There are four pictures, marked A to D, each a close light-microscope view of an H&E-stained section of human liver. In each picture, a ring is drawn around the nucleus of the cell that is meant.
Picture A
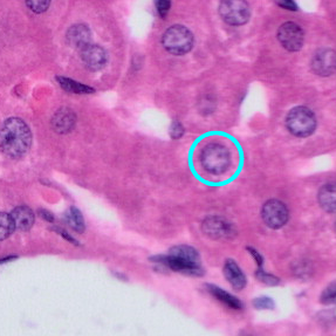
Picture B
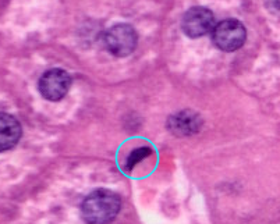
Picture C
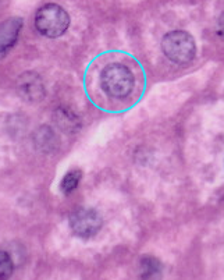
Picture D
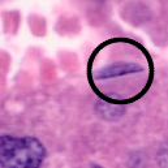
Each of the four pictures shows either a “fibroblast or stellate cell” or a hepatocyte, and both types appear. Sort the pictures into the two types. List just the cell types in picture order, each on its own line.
hepatocyte
fibroblast or stellate cell
hepatocyte
fibroblast or stellate cell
